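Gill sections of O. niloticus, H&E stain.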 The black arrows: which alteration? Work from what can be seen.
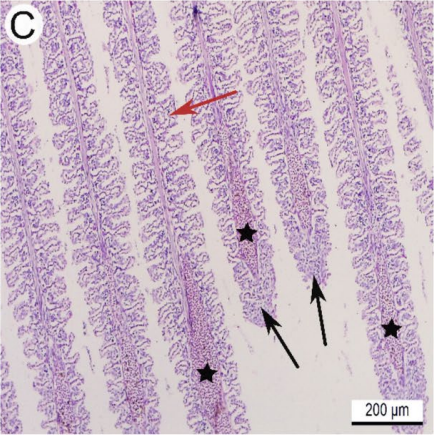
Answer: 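Epithelial hyperplasia. The arrows point at the ends of long filaments. The filament tips are thickened by crowded cells that fill in between the side projections.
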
